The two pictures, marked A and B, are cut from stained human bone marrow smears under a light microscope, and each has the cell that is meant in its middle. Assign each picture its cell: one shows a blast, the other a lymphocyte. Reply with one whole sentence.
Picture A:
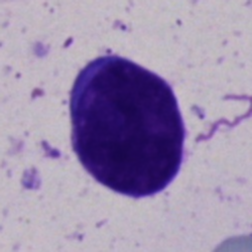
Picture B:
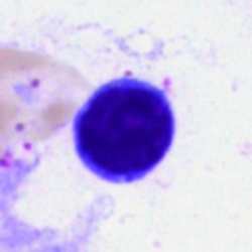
Picture A is of a blast, and picture B is of a lymphocyte.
